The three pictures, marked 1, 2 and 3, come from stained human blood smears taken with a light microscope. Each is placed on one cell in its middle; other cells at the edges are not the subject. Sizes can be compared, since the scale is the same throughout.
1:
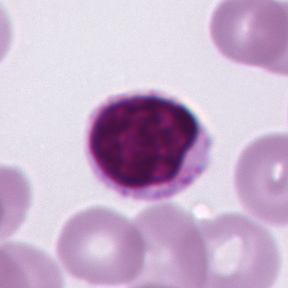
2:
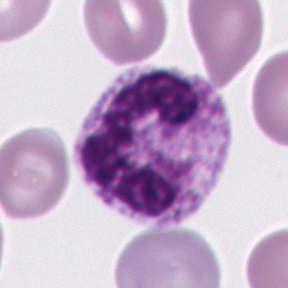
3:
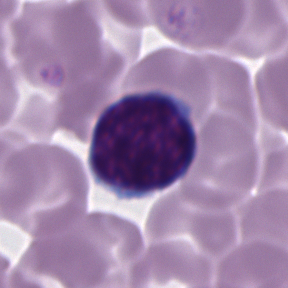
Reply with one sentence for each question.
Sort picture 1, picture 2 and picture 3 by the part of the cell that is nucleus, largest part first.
From the most filled to the least, the order is 3, 1, 2.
